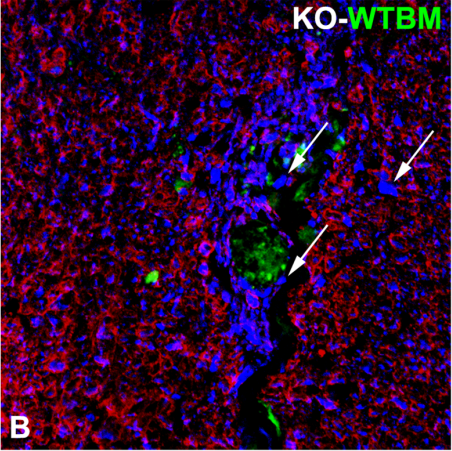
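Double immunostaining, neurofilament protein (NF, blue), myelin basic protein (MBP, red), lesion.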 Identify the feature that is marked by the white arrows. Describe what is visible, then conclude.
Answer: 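The arrows point to blue profiles. The blue profiles at the arrows have no red ring around them. Most of the field is filled with red rings around blue cores. That points to this answer: Unmyelinated axons.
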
